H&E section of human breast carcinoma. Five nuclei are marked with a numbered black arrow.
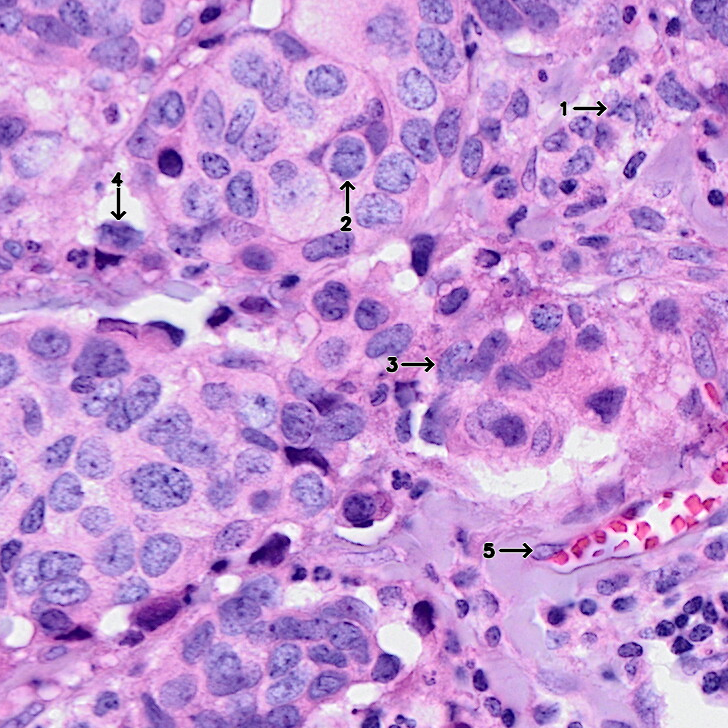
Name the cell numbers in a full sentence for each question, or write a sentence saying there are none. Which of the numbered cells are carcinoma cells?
Identification: the cells with numbers 2, 3 and 4 are carcinoma cells.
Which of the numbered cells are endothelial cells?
Cell 5 is the one numbered cell that is an endothelial cell.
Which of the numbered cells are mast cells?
There are no mast cells in the group of numbered cells.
